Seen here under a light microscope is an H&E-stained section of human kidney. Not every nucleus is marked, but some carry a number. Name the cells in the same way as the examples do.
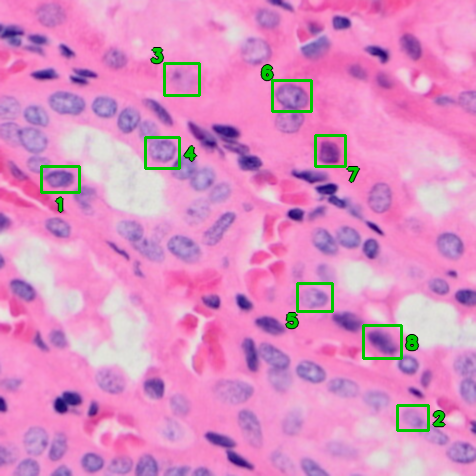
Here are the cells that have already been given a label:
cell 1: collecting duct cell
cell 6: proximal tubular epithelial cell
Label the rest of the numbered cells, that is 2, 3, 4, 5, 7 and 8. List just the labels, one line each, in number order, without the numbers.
collecting duct cell
proximal tubular epithelial cell
collecting duct cell
collecting duct cell
proximal tubular epithelial cell
collecting duct cell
